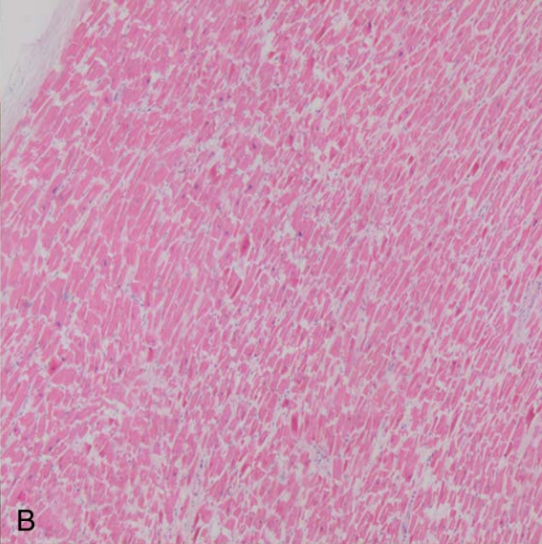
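This is heart muscle cut along its fibres, made of cardiomyocytes stained a strong, bright pink. Instead of continuous long fibres, the muscle is broken into many short fragments. Thin clear gaps separate the fragments from one another, giving the tissue a cracked look. Small dark nuclei are scattered sparsely among the fibres.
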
